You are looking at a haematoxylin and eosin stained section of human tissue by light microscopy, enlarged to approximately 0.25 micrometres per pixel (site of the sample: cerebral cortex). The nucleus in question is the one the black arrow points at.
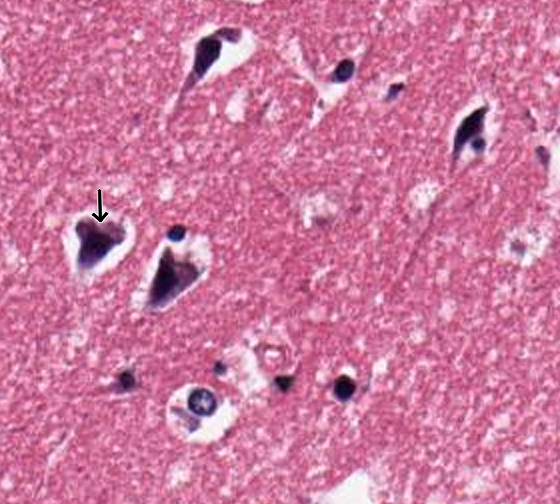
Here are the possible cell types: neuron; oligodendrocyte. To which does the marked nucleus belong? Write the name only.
neuron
